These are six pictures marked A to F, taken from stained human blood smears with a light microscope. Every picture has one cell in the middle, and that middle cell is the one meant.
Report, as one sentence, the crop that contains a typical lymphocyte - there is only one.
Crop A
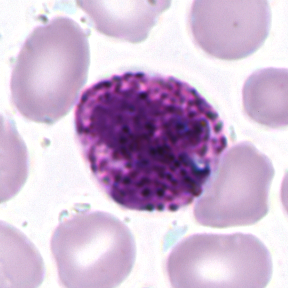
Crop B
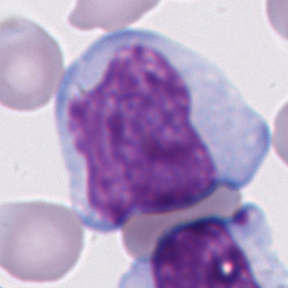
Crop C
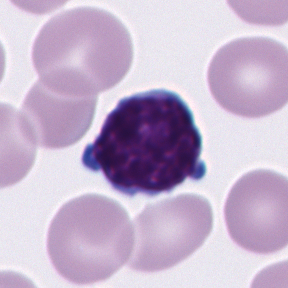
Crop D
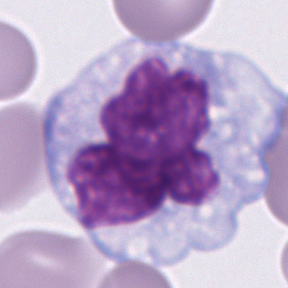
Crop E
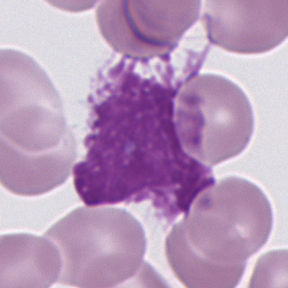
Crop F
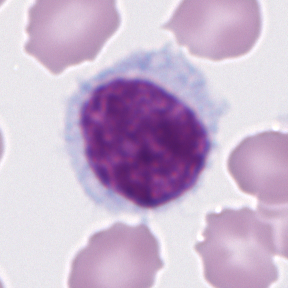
The one showing a typical lymphocyte is crop C.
